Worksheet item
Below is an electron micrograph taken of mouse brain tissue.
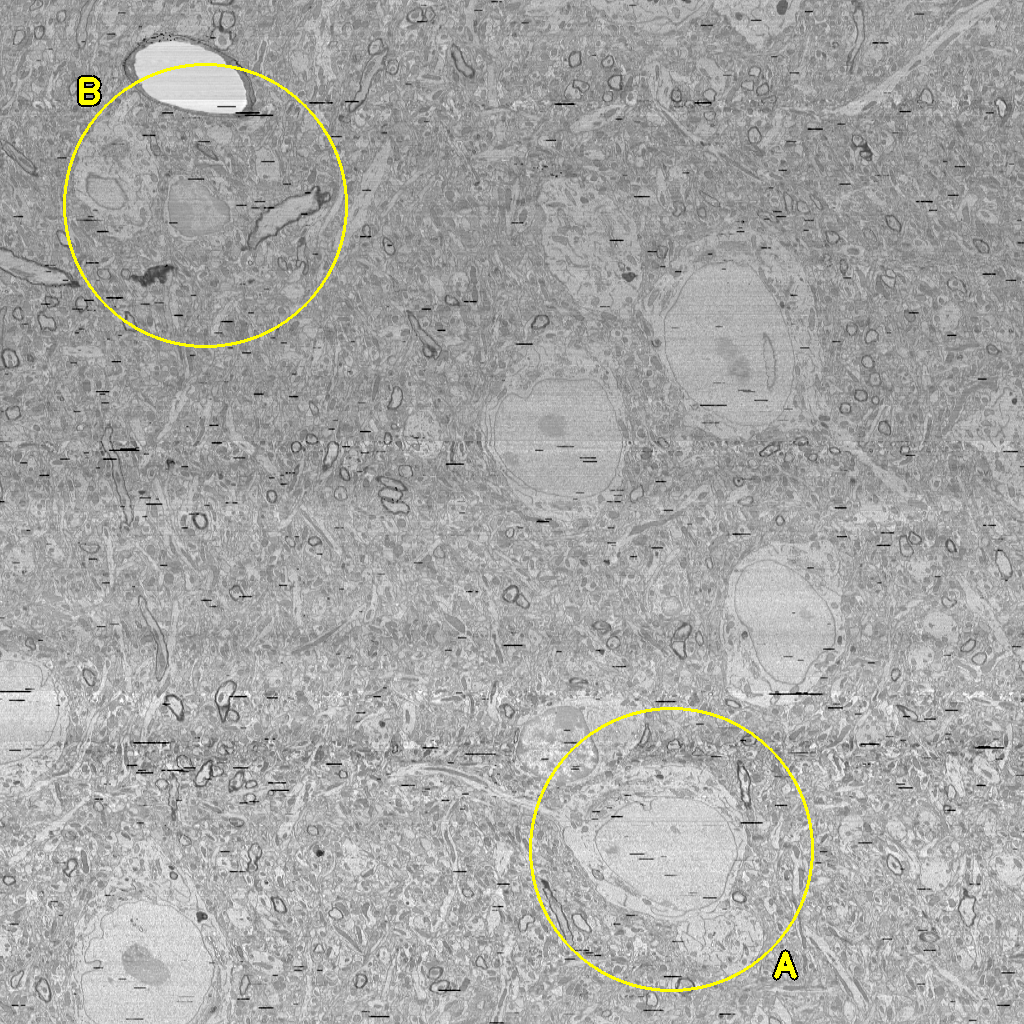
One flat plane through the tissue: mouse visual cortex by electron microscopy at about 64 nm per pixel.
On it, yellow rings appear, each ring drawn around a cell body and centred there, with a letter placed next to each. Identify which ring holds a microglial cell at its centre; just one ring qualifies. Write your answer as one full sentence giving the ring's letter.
Ring B has the cell asked for right at its centre in the picture.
